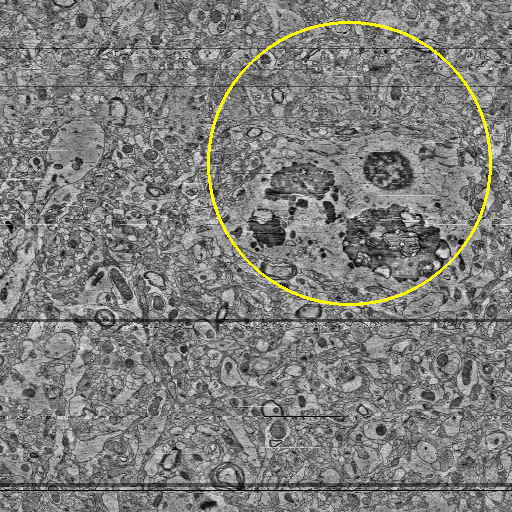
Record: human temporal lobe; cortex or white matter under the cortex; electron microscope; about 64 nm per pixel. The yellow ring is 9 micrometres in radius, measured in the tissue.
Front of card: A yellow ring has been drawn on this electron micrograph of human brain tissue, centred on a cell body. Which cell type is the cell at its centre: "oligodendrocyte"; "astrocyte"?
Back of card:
astrocyte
